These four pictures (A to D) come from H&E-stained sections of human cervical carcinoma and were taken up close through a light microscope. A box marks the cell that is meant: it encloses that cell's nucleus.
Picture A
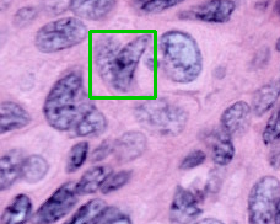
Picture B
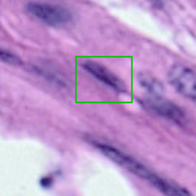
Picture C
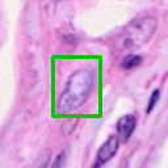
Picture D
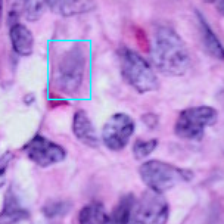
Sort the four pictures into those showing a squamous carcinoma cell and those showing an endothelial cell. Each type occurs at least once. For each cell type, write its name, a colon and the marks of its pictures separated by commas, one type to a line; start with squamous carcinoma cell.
squamous carcinoma cell: A, B
endothelial cell: C, D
